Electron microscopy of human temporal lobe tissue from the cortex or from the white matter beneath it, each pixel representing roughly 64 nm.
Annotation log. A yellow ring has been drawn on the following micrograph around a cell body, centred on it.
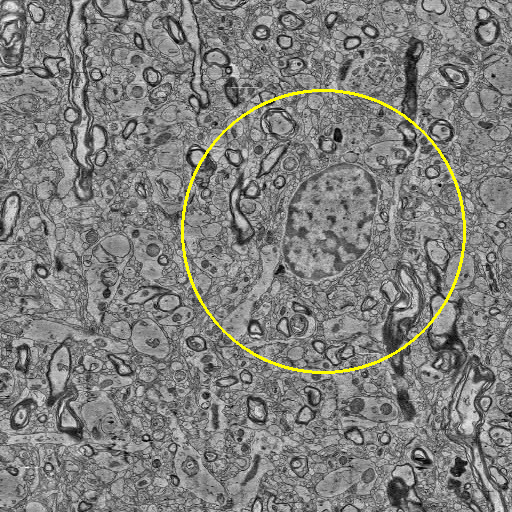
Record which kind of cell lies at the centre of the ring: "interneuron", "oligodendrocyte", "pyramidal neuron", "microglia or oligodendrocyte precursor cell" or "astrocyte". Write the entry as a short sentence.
The cell the ring is centred on is a microglial cell or oligodendrocyte precursor cell.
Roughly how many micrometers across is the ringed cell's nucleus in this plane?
Roughly 8 by 6 micrometres is the size of the nucleus in this plane.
